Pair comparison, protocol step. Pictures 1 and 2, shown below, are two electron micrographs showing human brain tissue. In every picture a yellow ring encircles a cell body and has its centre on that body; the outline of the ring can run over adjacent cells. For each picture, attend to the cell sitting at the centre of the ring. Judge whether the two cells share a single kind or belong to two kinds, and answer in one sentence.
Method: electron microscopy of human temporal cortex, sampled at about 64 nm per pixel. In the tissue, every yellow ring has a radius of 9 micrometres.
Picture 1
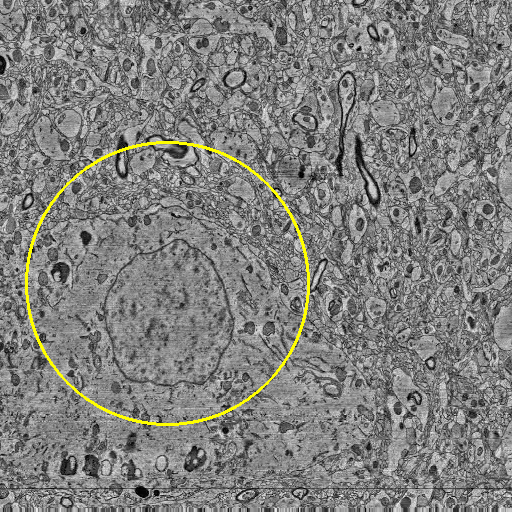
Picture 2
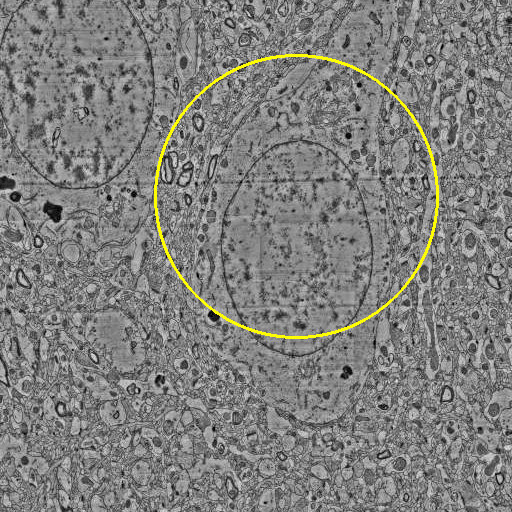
The two cells at the ring centres in Picture 1 and Picture 2 share a single kind.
